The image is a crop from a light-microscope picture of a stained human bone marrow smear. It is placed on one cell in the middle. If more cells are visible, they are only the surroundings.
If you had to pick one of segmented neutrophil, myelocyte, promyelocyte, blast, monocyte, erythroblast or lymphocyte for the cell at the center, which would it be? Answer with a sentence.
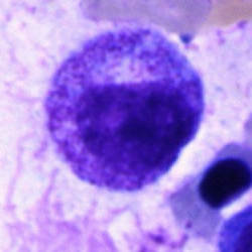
The cell at the middle of the frame should be recorded as a promyelocyte.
